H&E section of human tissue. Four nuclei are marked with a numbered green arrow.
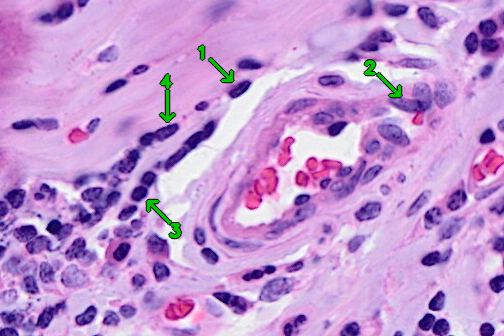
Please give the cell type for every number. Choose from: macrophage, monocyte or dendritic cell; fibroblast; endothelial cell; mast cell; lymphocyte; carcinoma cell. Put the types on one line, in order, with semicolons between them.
lymphocyte; endothelial cell; lymphocyte; lymphocyte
